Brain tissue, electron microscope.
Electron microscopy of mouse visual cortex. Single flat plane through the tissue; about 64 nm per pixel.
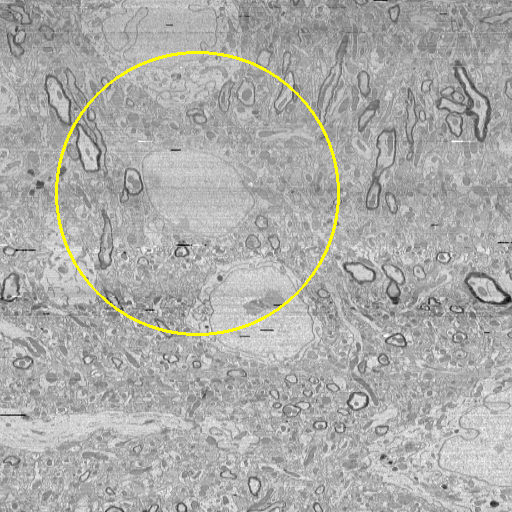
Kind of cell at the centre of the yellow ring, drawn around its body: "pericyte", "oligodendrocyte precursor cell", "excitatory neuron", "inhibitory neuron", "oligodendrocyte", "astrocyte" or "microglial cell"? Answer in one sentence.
The ring's centre falls on an astrocyte.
